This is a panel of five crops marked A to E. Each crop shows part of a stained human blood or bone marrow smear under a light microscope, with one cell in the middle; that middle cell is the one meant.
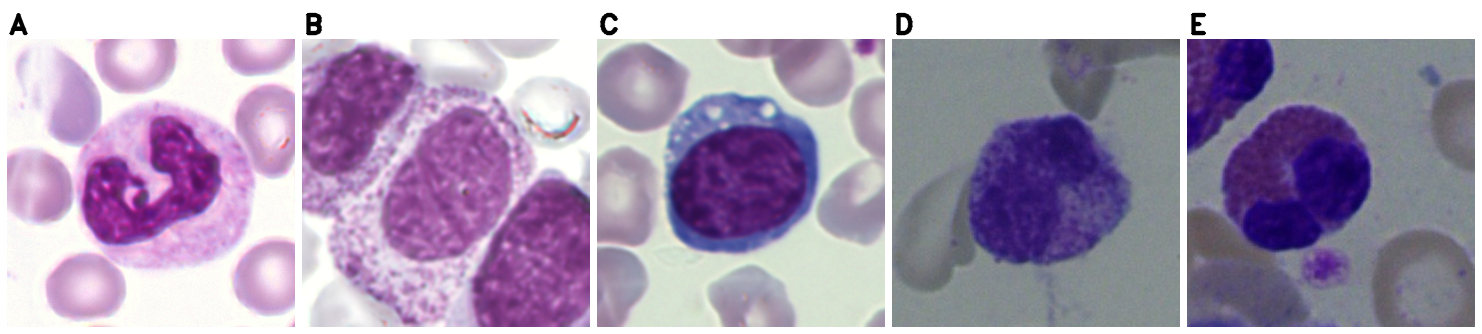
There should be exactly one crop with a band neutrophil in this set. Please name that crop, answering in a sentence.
Crop A is the correct crop, and it shows a band neutrophil.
